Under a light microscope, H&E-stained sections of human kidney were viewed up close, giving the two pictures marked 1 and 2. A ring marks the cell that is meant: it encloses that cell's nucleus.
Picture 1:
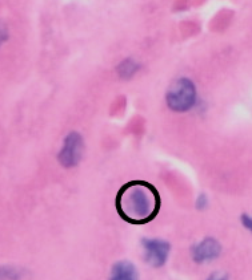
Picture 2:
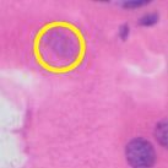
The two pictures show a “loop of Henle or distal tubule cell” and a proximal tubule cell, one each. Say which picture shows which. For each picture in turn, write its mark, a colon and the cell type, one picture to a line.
1: loop of Henle or distal tubule cell
2: proximal tubule cell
